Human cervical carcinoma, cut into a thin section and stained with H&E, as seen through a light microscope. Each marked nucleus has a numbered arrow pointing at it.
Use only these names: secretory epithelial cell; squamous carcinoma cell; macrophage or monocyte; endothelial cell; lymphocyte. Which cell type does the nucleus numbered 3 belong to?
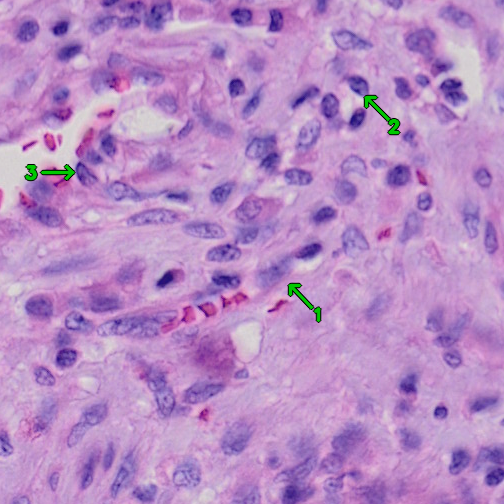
endothelial cell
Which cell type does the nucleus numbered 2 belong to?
lymphocyte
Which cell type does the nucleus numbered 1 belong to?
endothelial cell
